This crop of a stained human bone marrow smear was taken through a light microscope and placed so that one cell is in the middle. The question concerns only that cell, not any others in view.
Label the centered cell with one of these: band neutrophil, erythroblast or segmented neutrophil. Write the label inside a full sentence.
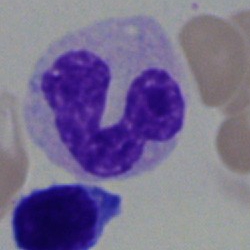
Classified as a band neutrophil is the cell in the middle of this crop.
